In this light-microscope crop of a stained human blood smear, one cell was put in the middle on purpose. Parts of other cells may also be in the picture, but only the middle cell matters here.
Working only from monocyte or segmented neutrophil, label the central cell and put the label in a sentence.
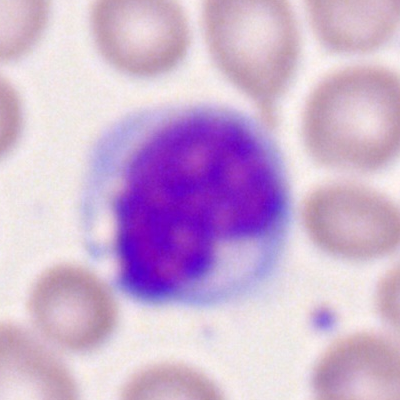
Classification of the middle cell gives a monocyte.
